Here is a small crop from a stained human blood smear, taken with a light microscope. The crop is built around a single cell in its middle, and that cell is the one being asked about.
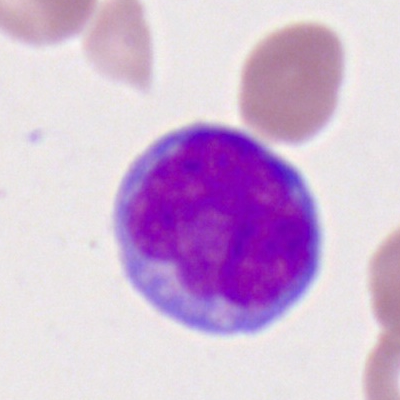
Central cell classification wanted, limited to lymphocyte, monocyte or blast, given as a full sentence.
At the middle of the frame sits a blast.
